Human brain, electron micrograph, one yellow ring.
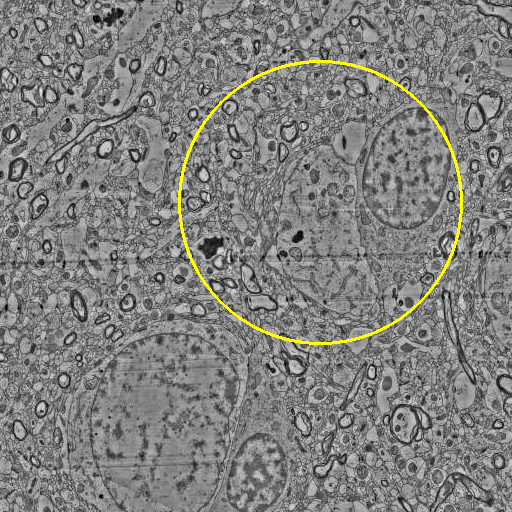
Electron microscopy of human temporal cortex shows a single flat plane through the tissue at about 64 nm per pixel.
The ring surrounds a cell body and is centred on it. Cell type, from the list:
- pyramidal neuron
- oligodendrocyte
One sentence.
The yellow ring circles a pyramidal neuron.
